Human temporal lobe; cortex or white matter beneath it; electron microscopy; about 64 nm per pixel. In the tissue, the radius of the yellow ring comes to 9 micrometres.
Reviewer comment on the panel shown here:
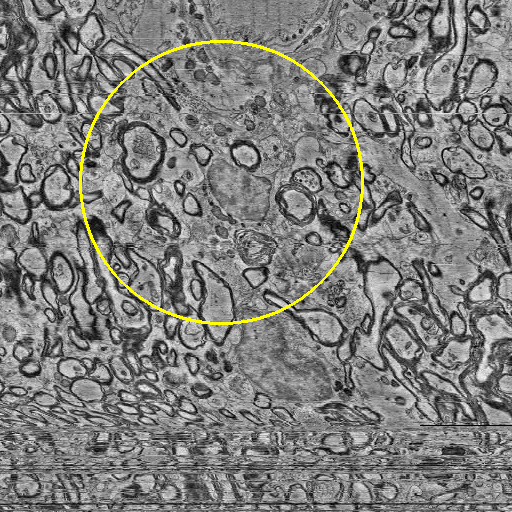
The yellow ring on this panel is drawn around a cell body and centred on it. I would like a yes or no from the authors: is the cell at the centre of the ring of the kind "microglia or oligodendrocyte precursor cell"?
no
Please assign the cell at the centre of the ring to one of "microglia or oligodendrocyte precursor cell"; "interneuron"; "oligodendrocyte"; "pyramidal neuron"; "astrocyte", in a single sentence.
The cell enclosed by the ring is an oligodendrocyte.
